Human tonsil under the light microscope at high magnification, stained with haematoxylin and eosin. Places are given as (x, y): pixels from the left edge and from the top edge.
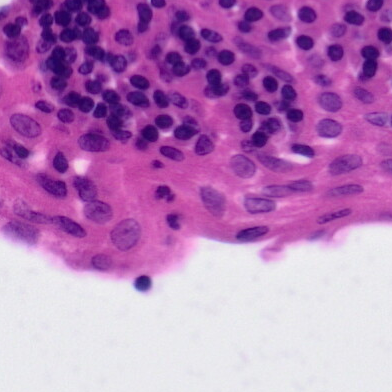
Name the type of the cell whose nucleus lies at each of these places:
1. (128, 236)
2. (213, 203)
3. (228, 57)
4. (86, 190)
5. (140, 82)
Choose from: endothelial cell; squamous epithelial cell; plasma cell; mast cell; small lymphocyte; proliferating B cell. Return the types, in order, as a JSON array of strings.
["squamous epithelial cell", "squamous epithelial cell", "plasma cell", "squamous epithelial cell", "plasma cell"]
